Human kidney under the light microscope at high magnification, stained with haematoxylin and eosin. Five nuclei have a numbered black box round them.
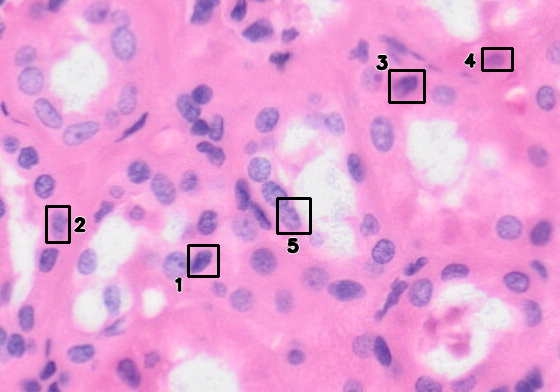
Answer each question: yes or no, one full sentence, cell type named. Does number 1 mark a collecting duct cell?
Yes, cell number 1 in this section is a collecting duct cell.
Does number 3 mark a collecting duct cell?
No, cell 3 does not represent a collecting duct cell; it represents a proximal tubule cell.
